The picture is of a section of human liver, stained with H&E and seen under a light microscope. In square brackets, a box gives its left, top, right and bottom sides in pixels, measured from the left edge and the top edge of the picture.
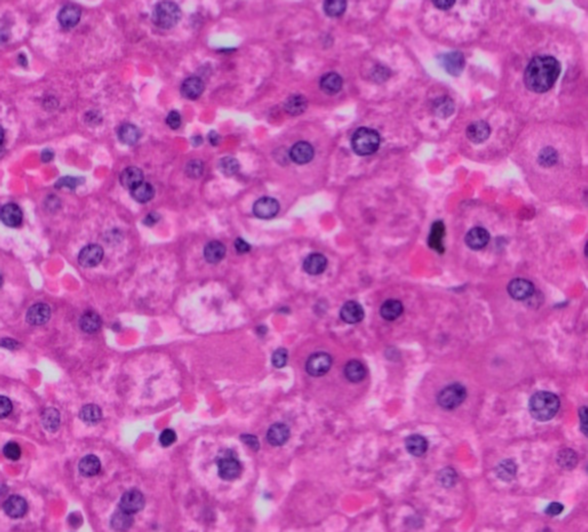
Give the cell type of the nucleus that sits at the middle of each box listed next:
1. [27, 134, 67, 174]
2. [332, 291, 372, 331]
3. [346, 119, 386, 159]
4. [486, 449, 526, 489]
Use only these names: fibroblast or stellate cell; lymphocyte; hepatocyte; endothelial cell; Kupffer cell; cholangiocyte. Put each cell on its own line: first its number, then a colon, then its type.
1: lymphocyte
2: hepatocyte
3: hepatocyte
4: hepatocyte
